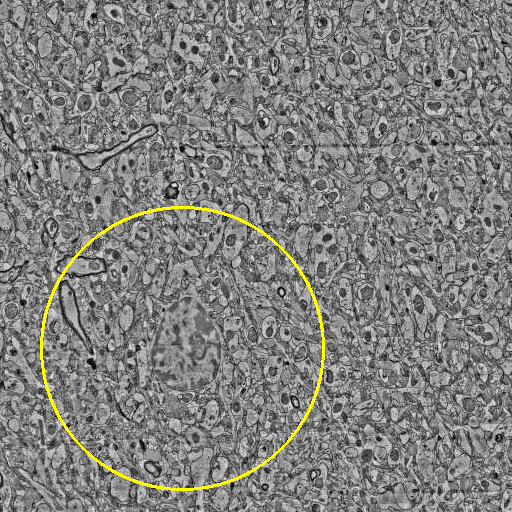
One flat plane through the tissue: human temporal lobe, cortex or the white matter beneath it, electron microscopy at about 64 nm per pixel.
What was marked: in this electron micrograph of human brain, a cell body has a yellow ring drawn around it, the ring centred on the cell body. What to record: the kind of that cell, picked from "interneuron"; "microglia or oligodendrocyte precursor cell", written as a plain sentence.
The centred cell is a microglial cell or oligodendrocyte precursor cell.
